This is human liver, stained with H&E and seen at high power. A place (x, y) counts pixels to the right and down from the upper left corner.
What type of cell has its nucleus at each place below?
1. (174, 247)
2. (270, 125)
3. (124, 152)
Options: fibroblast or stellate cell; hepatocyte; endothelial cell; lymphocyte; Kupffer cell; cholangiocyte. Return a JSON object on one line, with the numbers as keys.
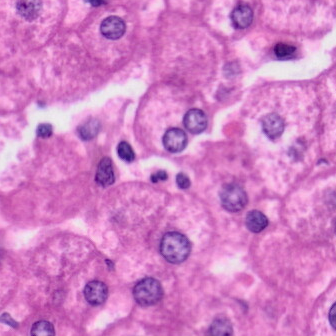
{"1": "hepatocyte", "2": "hepatocyte", "3": "lymphocyte"}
